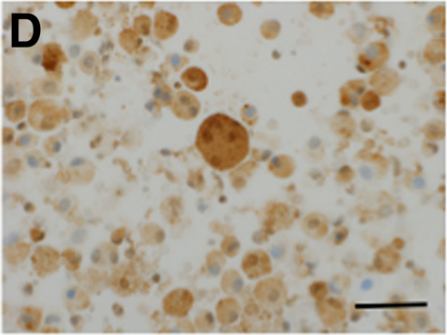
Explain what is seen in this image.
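Many cells show a pale blue nucleus set within a rim of orange-brown cytoplasm, and the staining intensity varies from pale to deep brown between cells. The cells lie singly or touching one another, with no tissue organisation, on a pale background.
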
